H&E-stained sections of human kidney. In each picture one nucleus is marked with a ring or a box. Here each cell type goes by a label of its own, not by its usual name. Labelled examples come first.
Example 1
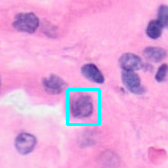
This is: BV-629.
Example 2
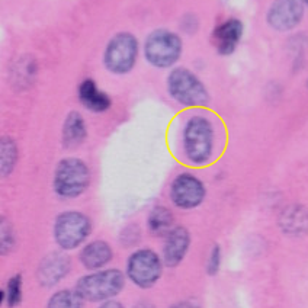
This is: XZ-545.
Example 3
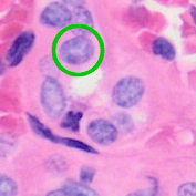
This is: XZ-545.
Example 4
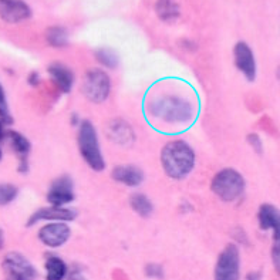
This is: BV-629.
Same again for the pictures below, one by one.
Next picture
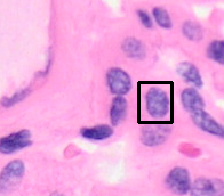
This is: XZ-545.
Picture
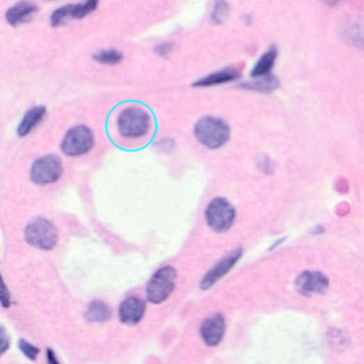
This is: BV-629.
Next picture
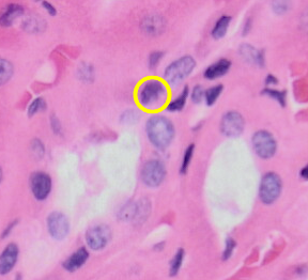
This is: XZ-545.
